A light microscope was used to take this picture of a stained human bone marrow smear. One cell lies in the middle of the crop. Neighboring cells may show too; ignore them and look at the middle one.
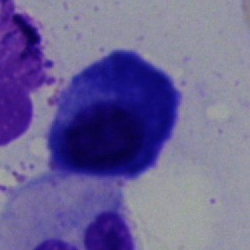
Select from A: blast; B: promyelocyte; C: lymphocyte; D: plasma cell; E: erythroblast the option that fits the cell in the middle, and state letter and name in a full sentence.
The centrally positioned cell is a plasma cell, consistent with option D, which is correct.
